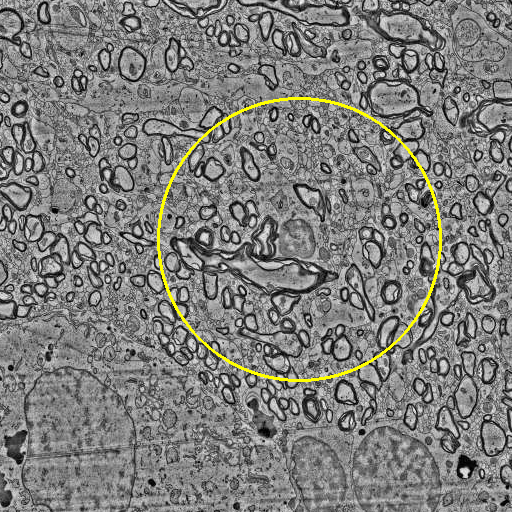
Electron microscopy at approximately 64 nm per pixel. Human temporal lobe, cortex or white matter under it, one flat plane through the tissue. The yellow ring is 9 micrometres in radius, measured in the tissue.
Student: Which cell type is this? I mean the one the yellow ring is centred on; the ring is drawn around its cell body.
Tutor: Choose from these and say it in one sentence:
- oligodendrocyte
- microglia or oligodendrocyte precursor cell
The cell the ring is centred on is an oligodendrocyte.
